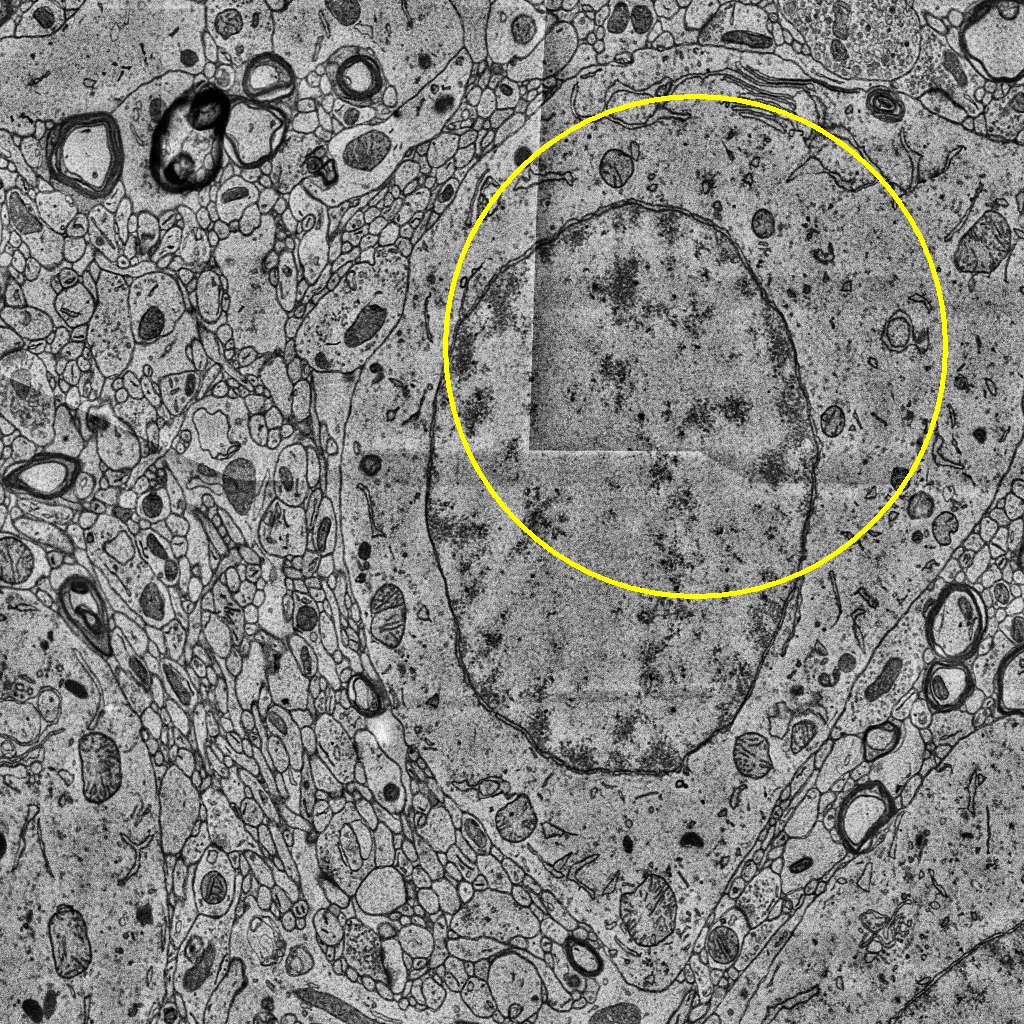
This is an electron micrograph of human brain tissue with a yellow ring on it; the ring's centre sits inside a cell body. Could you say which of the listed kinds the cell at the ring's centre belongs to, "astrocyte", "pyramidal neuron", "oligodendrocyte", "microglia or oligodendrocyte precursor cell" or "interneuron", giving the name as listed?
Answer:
pyramidal neuron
